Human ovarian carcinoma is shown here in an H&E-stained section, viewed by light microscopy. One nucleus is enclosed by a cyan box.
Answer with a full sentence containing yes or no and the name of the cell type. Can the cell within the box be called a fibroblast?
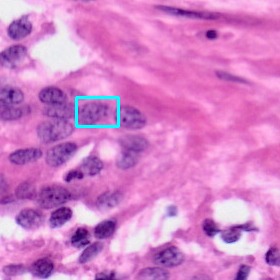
No, the right answer is that the cell within the box is a carcinoma cell, not a fibroblast.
